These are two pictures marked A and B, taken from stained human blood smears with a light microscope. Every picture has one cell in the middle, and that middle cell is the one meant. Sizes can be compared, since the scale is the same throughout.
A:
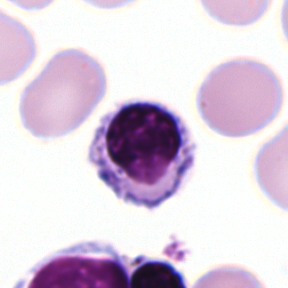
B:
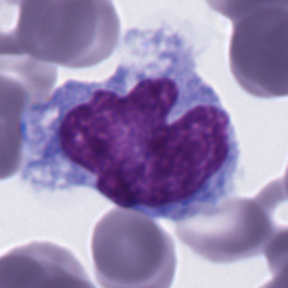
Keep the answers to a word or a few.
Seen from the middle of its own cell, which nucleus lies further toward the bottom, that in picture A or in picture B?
B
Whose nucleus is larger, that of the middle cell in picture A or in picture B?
B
